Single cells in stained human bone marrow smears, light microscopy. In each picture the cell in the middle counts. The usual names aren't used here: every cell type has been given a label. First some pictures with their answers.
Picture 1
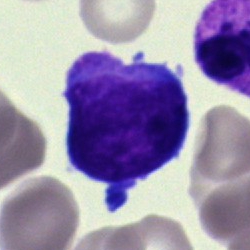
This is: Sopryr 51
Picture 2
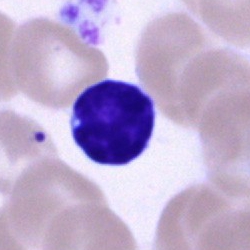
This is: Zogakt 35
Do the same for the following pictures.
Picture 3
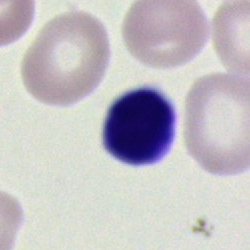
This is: Zogakt 35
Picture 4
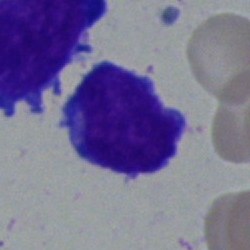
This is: Zogakt 35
